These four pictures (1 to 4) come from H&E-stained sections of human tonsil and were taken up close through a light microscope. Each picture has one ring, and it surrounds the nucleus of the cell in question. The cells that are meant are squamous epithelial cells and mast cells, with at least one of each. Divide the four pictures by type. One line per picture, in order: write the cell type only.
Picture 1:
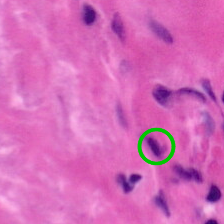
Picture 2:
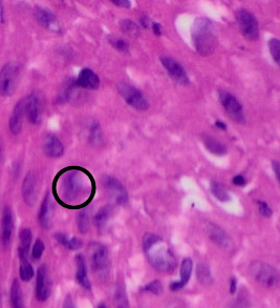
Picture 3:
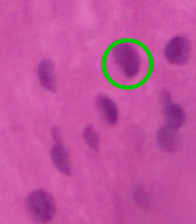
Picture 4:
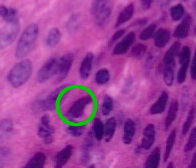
mast cell
squamous epithelial cell
squamous epithelial cell
squamous epithelial cell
